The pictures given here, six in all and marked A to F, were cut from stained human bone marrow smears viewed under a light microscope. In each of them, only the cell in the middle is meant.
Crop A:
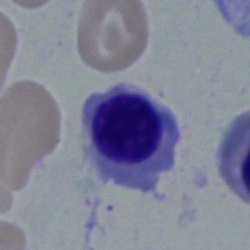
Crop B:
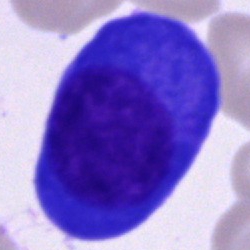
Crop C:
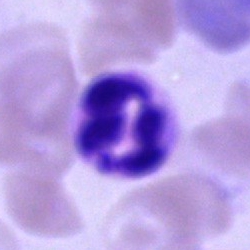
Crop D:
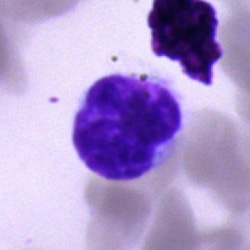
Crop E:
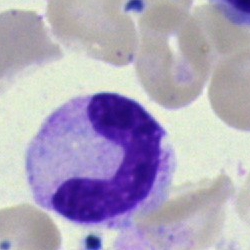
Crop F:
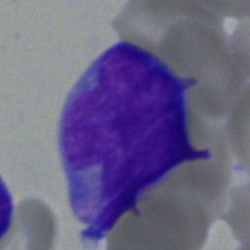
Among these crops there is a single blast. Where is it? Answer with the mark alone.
F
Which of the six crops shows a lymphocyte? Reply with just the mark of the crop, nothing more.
D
